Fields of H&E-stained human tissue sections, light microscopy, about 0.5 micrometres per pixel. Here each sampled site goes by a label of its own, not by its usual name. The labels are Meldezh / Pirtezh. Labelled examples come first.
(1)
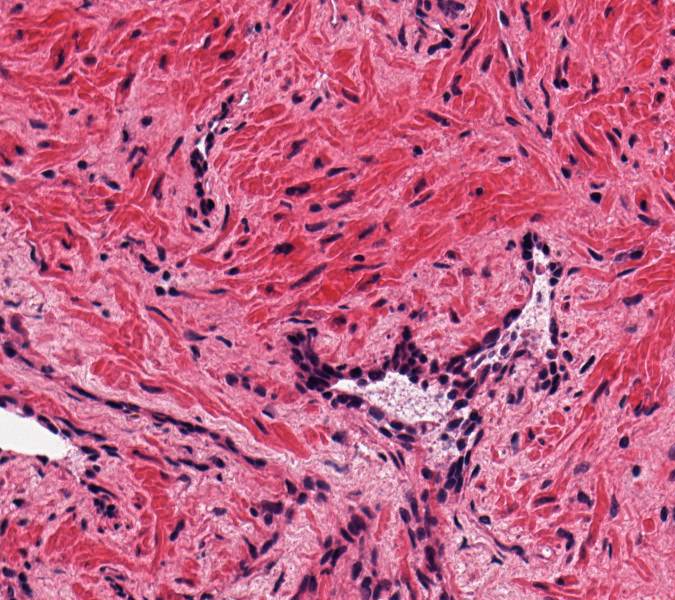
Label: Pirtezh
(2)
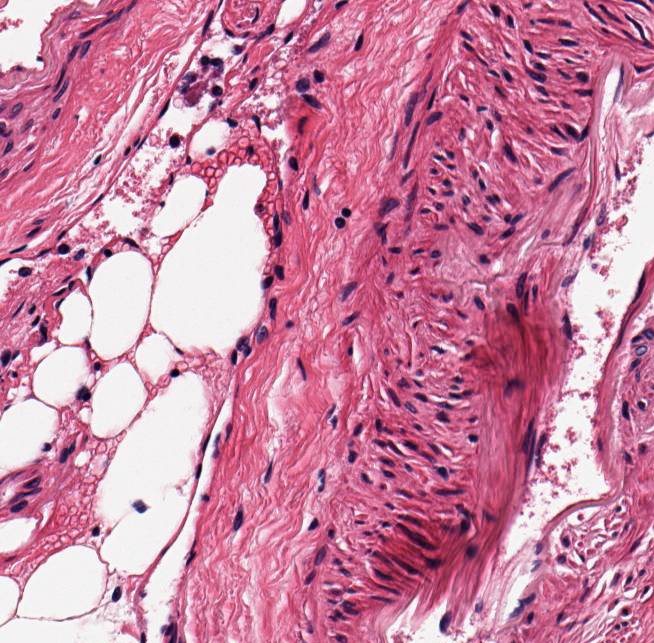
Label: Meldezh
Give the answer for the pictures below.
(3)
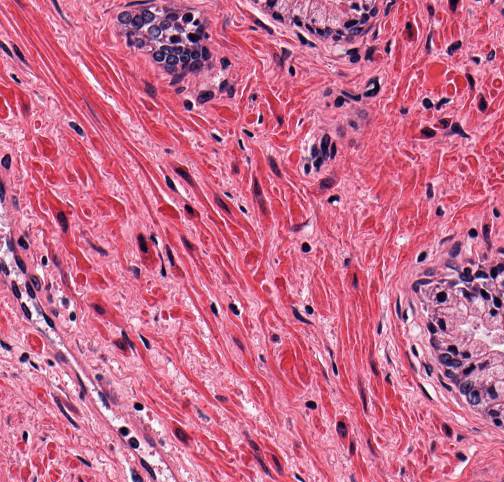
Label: Pirtezh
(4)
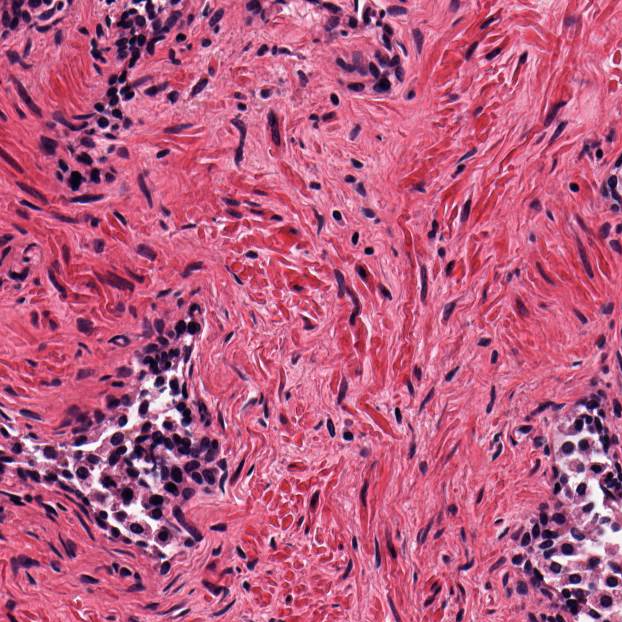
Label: Pirtezh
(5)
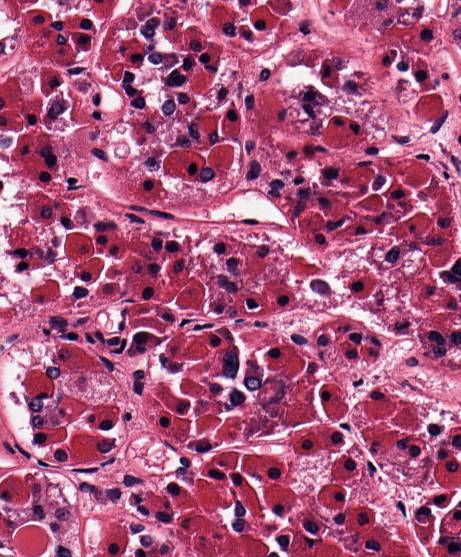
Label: Meldezh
